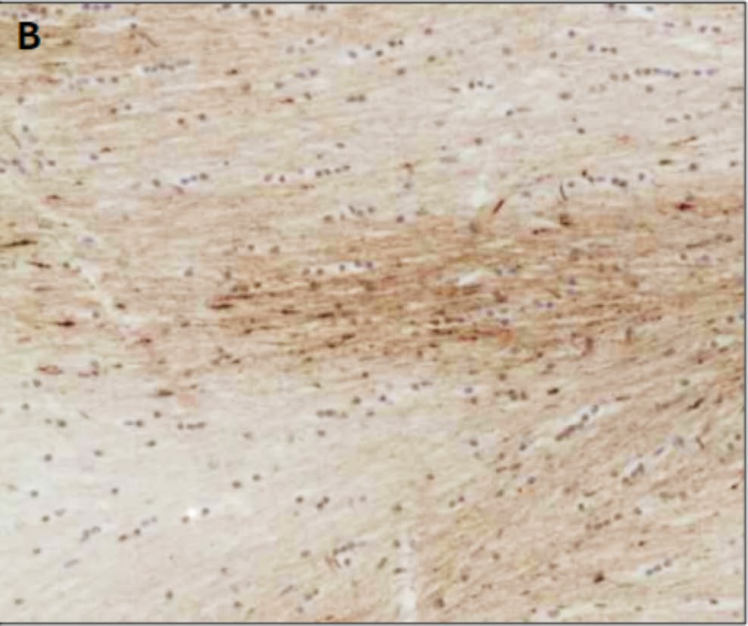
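Brain tissue in which a poorly bounded area shows faint brown staining made of fine parallel filaments and small granules. The brown filaments run in one direction across the field, following the course of fibres. Small blue nuclei are scattered through the tissue, some lined up in short rows between the fibres. The stained area fades gradually into unstained pale tissue without a sharp border.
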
